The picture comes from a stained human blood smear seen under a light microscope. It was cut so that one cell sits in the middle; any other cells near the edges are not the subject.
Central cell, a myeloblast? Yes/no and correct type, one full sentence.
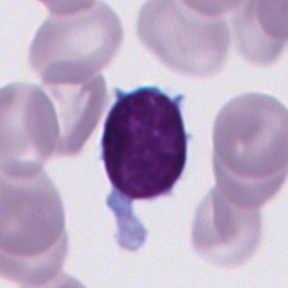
No, the middle cell is actually a typical lymphocyte rather than a myeloblast.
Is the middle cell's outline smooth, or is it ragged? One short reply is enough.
This cell has an uneven outline, either ragged or bearing projections.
